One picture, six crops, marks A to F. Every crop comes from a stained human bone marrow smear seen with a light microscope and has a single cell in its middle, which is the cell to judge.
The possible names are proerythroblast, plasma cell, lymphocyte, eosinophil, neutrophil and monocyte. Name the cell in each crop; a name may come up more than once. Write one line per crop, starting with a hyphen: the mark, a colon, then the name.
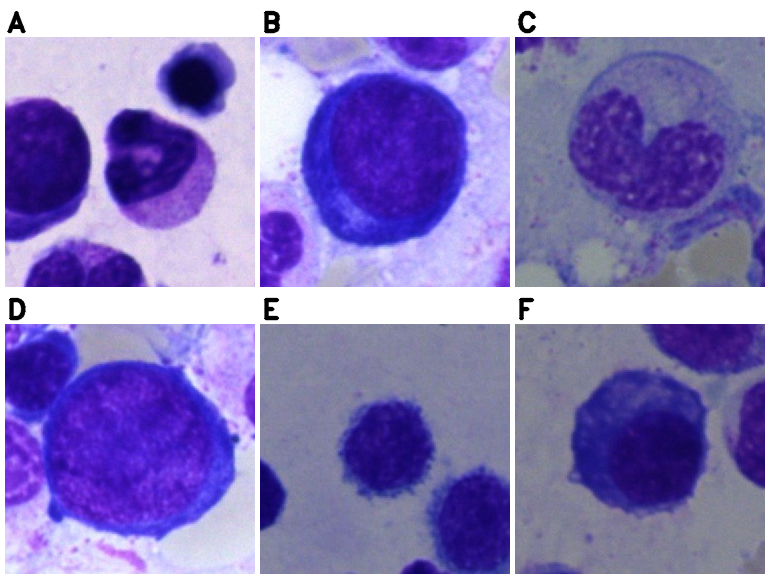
- A: neutrophil
- B: proerythroblast
- C: monocyte
- D: proerythroblast
- E: lymphocyte
- F: plasma cell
